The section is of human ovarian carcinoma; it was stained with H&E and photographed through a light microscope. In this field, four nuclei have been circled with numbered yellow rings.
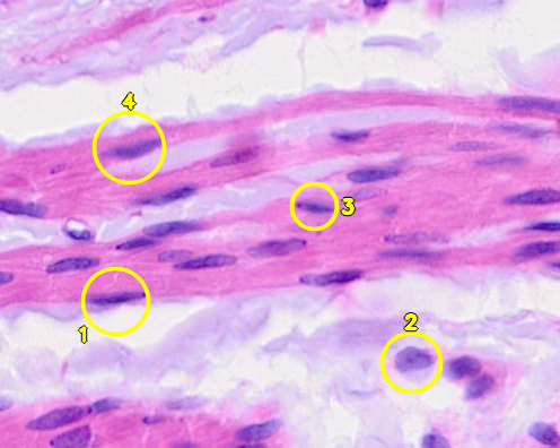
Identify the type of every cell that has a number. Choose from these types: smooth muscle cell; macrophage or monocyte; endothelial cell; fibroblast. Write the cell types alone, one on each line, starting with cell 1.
smooth muscle cell
fibroblast
smooth muscle cell
smooth muscle cell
